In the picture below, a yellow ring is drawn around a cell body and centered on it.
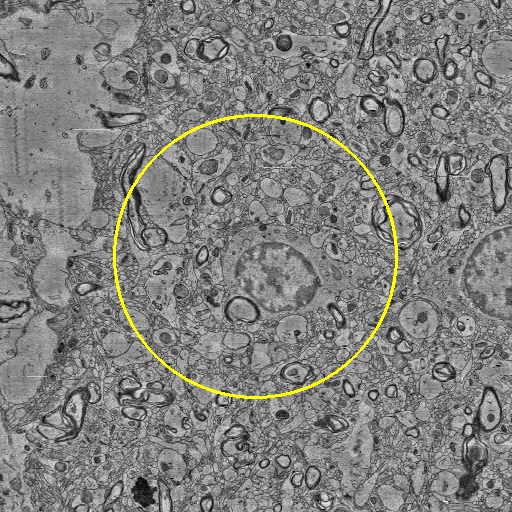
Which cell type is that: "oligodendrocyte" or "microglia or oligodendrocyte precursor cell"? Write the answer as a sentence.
The cell centered in the ring is an oligodendrocyte.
